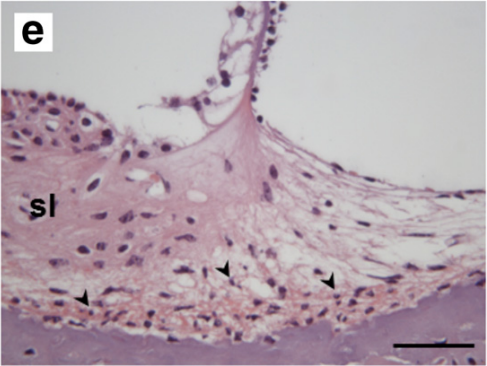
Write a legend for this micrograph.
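This is the spiral ligament of the cochlea, a pink fibrous connective tissue with a thin membrane attached at its upper edge. Fibrocytes are scattered through fine fibres, becoming more densely packed towards the bony wall at the bottom. Many of the lower cells have small, dark, compacted nuclei and sit in clear spaces within the loose tissue.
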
